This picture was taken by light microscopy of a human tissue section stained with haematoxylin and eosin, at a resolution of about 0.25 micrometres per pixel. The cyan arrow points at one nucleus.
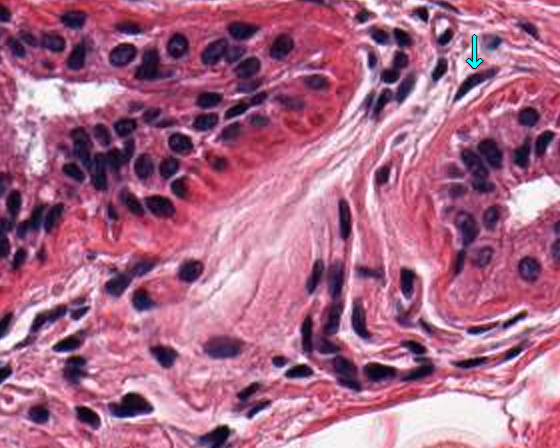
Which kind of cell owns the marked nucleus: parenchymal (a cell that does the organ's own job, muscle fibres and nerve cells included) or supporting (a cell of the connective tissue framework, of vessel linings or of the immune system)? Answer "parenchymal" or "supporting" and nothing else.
supporting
